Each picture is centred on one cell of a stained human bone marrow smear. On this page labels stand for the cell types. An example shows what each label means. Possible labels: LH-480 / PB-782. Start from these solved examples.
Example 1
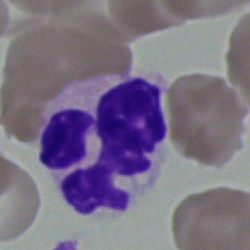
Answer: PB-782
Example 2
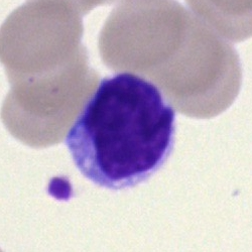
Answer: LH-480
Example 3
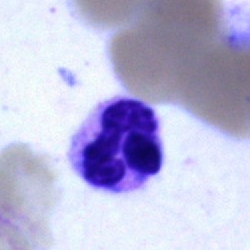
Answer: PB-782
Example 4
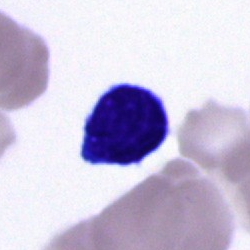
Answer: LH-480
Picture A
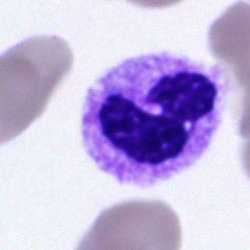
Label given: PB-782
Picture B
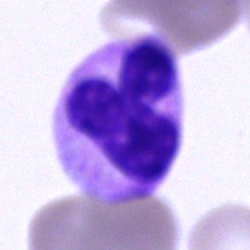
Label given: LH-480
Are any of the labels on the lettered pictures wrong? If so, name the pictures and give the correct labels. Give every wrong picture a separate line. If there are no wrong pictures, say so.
B is labelled LH-480; correct label: PB-782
